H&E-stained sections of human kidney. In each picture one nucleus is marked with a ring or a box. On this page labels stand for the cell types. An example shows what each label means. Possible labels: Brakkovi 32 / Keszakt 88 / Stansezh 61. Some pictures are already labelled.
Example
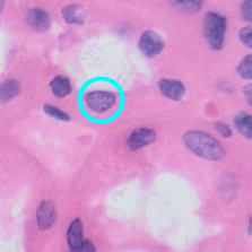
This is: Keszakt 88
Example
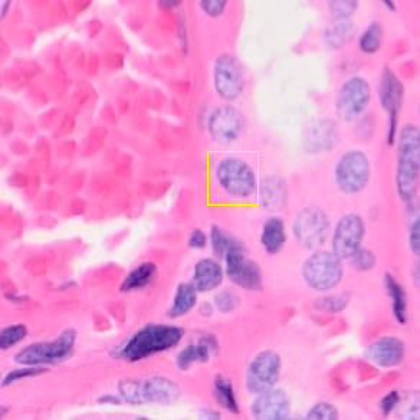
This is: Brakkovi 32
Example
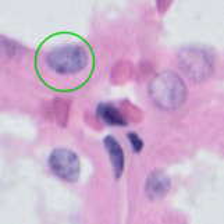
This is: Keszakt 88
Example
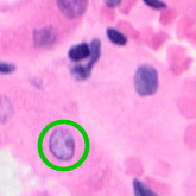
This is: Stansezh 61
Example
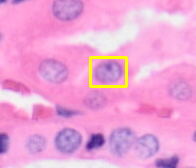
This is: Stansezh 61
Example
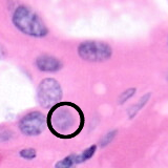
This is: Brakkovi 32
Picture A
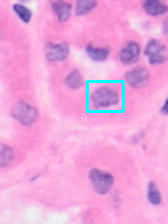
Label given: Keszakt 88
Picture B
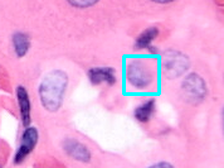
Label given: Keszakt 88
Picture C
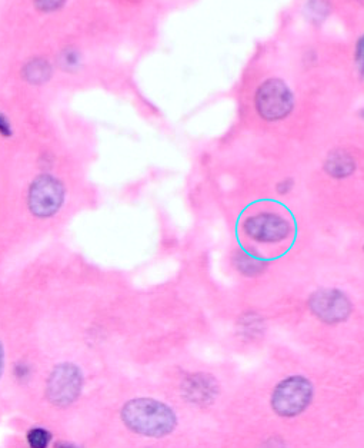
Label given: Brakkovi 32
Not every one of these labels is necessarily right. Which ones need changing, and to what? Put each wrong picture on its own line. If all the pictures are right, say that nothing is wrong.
B: not Keszakt 88 but Brakkovi 32
C: not Brakkovi 32 but Stansezh 61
